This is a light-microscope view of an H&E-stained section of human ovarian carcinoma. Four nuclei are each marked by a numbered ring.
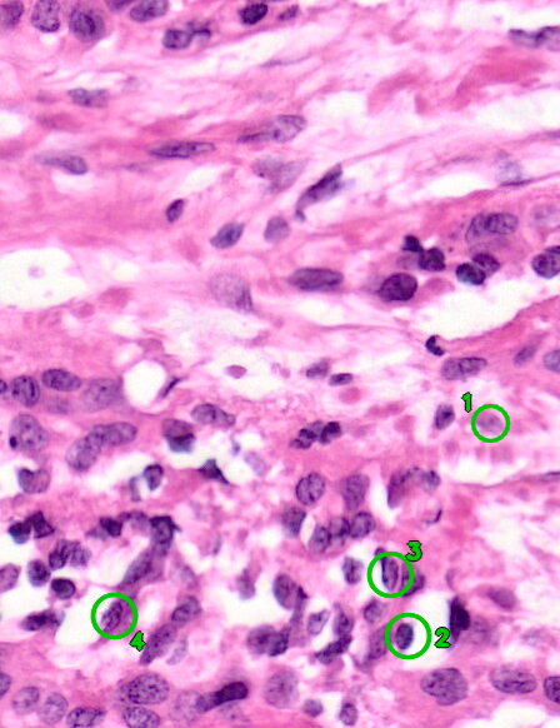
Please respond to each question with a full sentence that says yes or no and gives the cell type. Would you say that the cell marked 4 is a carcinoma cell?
Yes, of the numbered cells, number 4 is a carcinoma cell.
